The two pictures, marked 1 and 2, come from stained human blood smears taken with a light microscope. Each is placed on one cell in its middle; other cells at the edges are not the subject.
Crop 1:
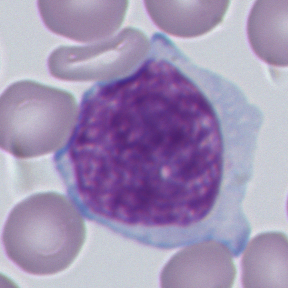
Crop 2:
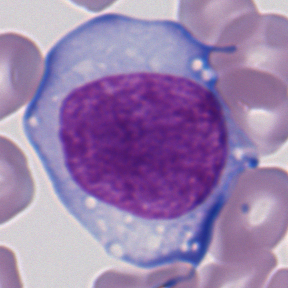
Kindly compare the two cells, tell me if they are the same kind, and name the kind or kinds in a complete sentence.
Yes, the cells at the middle of both crops are myeloblasts.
